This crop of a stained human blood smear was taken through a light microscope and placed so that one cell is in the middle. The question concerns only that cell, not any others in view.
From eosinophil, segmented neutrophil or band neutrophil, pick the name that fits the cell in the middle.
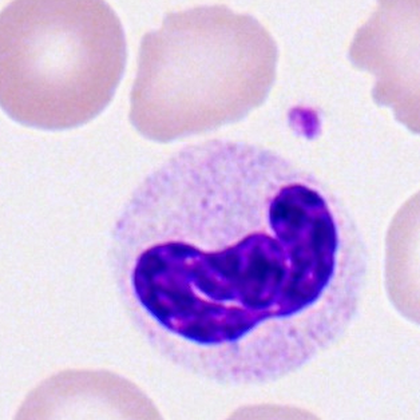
segmented neutrophil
